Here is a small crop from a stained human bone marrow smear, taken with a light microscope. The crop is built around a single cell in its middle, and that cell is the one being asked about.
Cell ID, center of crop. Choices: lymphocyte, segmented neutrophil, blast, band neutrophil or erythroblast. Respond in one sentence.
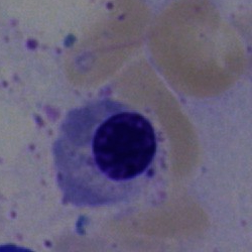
Classification of the middle cell gives an erythroblast.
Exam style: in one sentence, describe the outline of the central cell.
The periphery of this cell is uneven, with ragged portions or projections.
